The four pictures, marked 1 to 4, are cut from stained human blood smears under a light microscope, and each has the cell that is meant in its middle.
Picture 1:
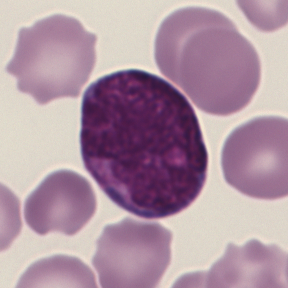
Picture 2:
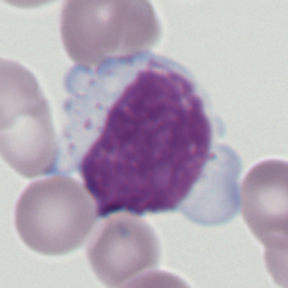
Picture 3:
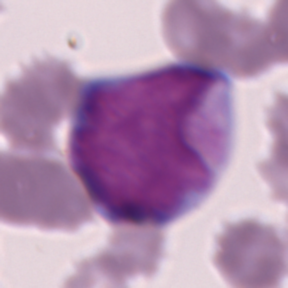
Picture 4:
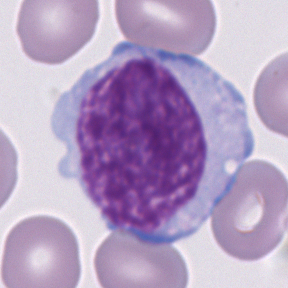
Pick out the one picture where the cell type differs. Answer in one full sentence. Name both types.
Picture 2 differs, because its cell is a large granular lymphocyte and the rest are myeloblasts.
